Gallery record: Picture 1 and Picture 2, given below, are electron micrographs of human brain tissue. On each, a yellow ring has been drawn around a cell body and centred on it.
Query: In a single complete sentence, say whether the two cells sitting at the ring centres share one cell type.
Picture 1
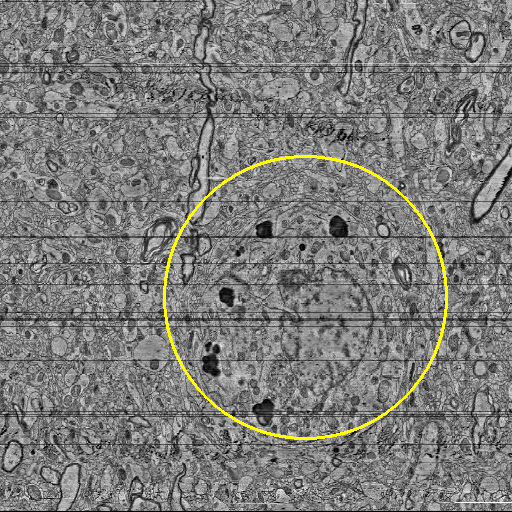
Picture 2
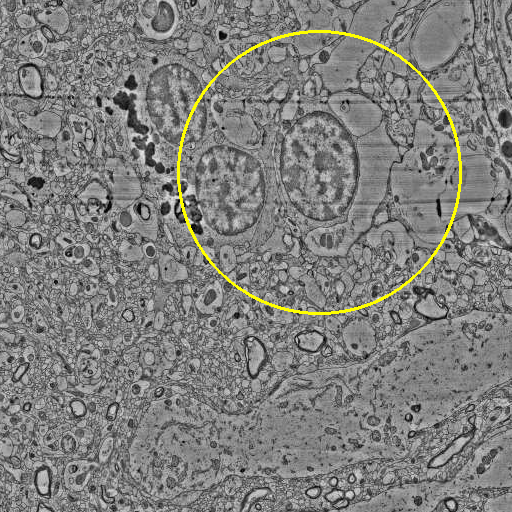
No, in the two pictures the cells at the rings' centres are of two separate types.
